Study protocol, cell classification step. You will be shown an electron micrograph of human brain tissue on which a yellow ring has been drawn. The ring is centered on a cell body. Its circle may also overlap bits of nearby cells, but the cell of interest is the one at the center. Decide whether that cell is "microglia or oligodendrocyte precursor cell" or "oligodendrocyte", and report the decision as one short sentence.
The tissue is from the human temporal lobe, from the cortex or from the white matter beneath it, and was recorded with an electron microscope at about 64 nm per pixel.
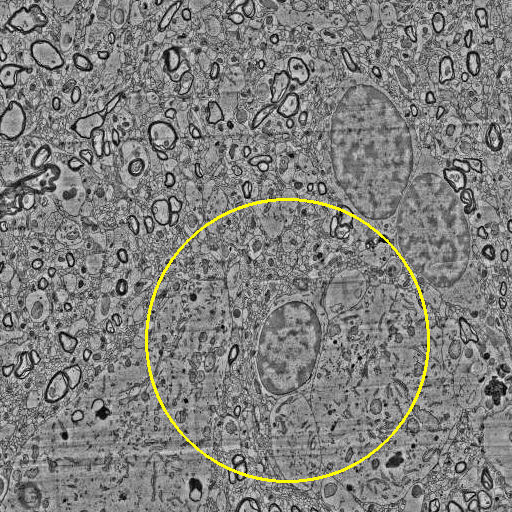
The marked cell is a microglial cell or oligodendrocyte precursor cell.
